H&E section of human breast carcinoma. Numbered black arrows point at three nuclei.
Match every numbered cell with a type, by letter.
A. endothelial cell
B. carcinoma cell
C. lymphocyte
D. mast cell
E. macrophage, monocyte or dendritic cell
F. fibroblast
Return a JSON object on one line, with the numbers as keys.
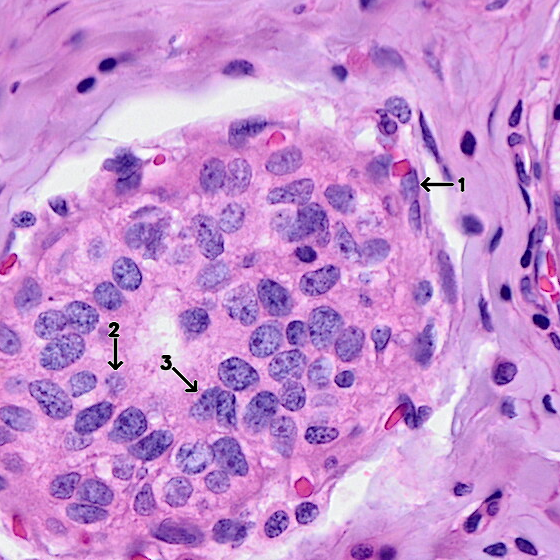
{"1": "A", "2": "B", "3": "B"}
